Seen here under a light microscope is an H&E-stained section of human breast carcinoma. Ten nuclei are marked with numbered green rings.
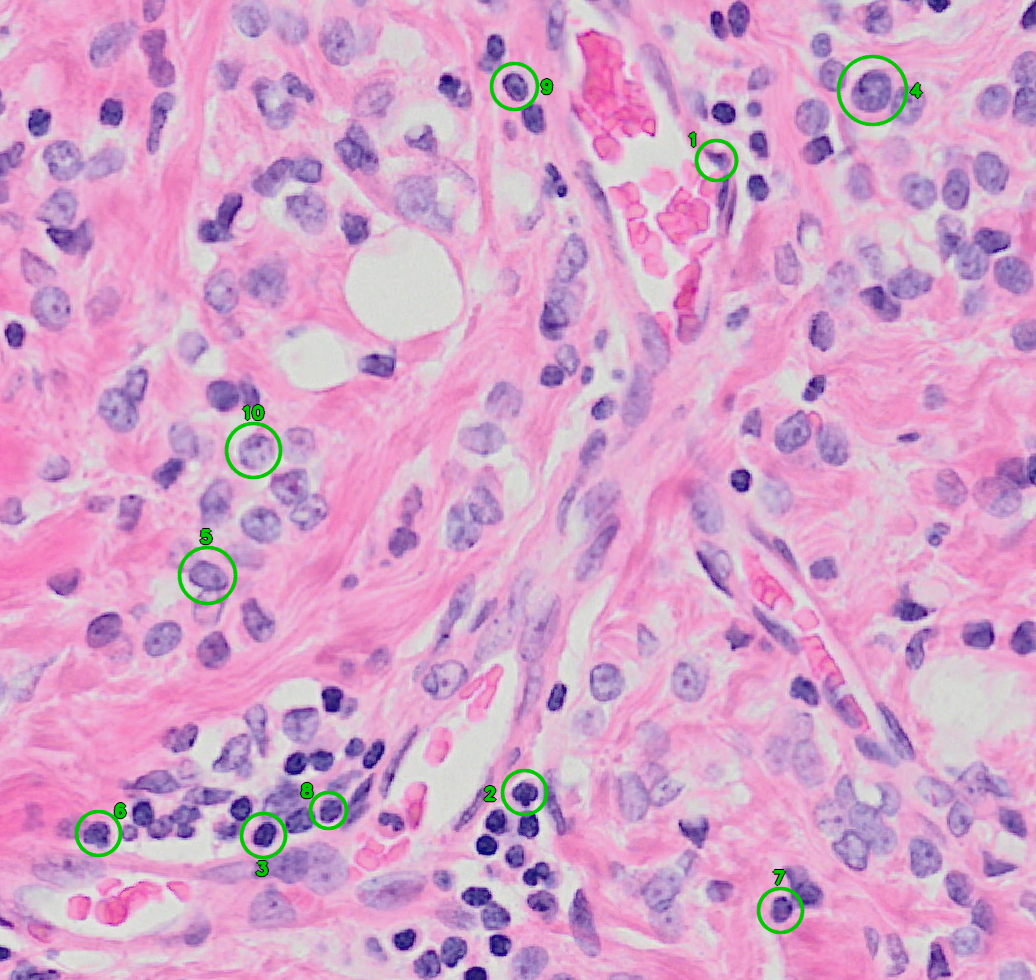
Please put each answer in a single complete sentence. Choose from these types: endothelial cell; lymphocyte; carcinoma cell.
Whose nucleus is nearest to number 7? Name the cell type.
Number 7 lies closest to the nucleus of a carcinoma cell.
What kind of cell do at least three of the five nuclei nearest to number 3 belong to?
Lymphocytes account for more than half of the five nuclei nearest to number 3.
